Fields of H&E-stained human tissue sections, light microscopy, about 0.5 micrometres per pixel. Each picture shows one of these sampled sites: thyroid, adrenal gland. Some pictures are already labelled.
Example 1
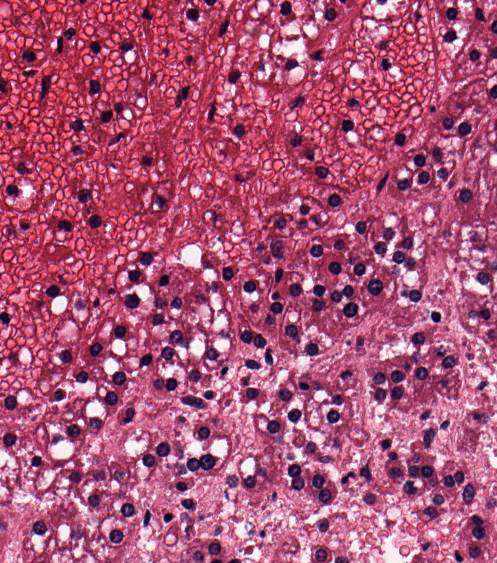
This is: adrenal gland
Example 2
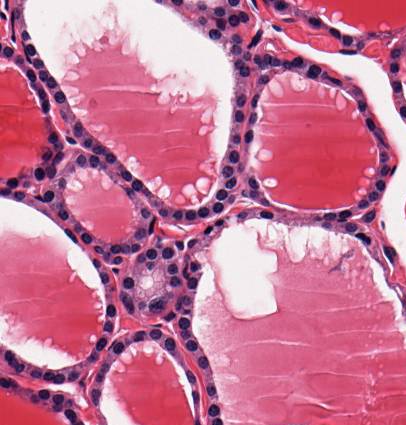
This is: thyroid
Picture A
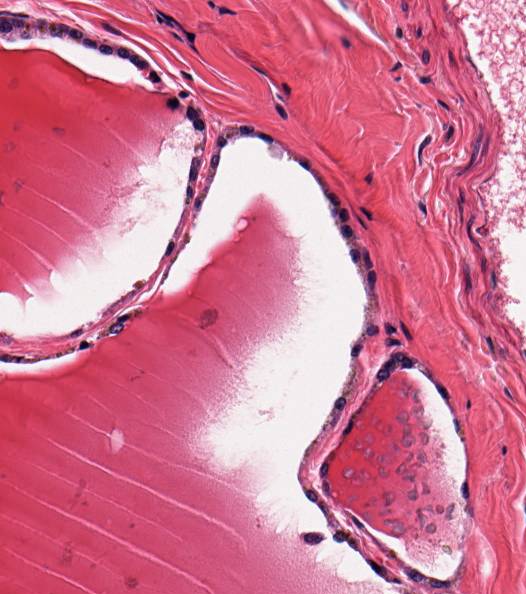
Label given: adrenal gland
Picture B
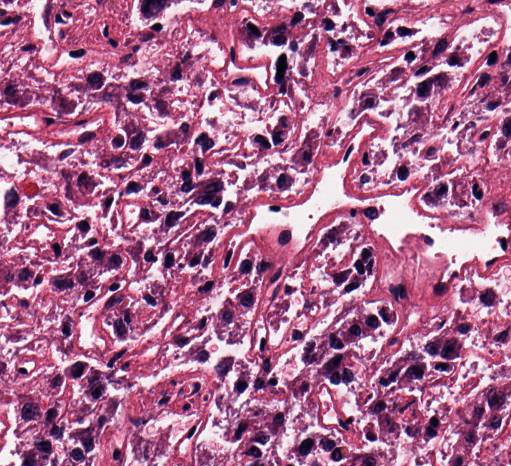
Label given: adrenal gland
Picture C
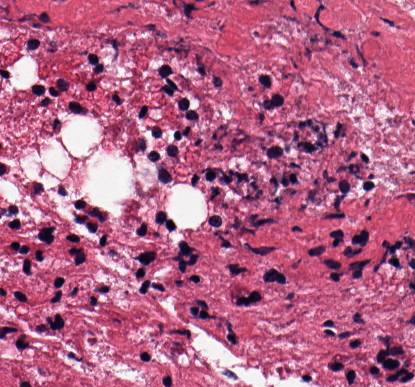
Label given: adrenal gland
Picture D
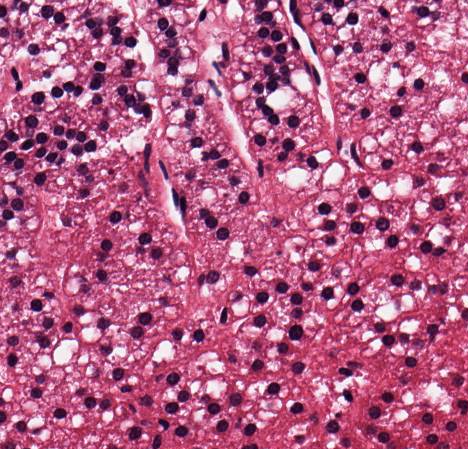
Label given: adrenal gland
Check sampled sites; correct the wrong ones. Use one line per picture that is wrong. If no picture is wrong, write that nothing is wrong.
A should be thyroid, not adrenal gland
